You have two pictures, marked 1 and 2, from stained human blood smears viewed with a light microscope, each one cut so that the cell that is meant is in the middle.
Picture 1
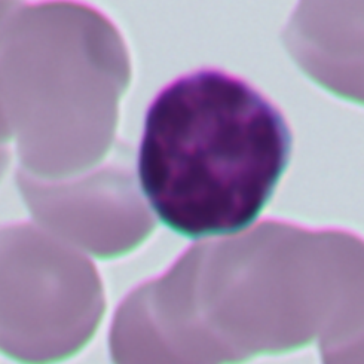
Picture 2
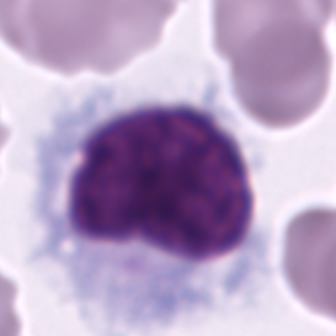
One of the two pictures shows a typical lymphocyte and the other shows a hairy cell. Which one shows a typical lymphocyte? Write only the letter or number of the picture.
1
